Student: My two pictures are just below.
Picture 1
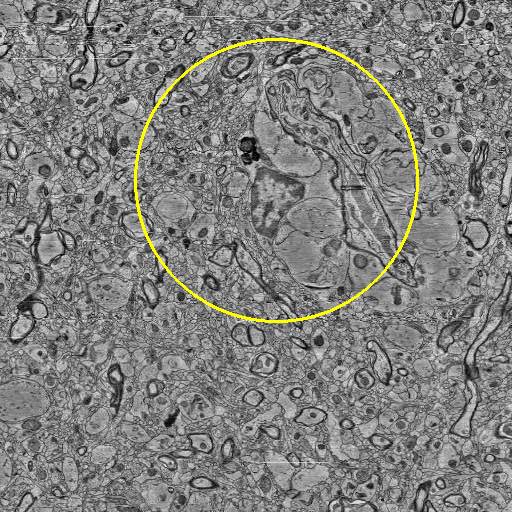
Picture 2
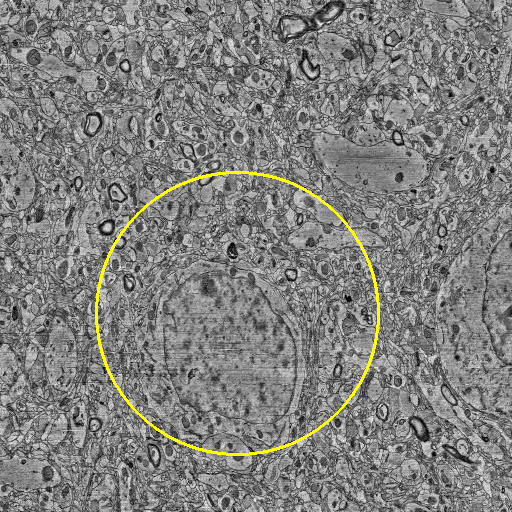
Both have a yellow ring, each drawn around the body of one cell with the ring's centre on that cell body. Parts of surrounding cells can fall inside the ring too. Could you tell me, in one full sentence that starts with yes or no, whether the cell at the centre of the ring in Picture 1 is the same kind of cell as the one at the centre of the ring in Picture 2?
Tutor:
No, the two cells are of two kinds.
